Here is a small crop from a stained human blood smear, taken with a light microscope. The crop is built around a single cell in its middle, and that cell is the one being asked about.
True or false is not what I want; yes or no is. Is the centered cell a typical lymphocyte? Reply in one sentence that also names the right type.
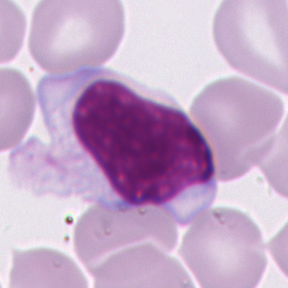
No, the cell in the middle of the crop counts as a large granular lymphocyte and not as a typical lymphocyte.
